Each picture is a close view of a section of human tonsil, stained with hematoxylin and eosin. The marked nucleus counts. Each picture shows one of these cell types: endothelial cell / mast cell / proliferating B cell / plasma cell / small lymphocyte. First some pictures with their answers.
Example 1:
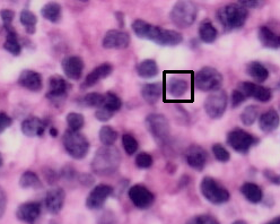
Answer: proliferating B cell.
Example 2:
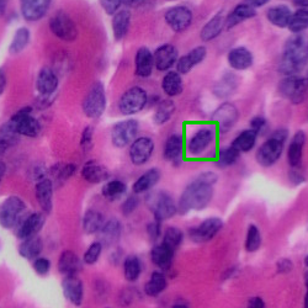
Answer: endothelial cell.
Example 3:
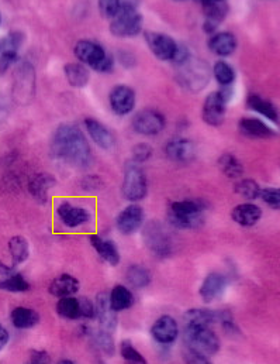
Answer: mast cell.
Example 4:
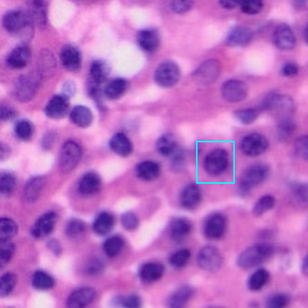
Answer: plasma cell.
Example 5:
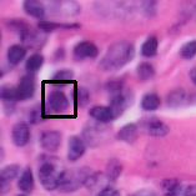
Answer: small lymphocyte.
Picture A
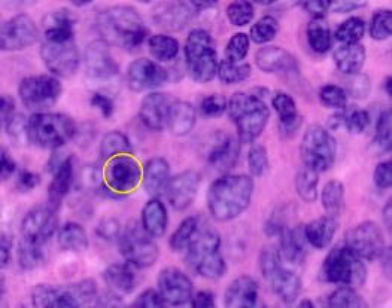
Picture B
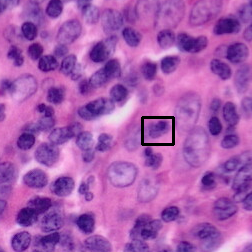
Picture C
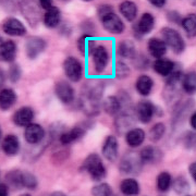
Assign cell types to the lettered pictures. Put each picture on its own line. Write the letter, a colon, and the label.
A: proliferating B cell.
B: endothelial cell.
C: small lymphocyte.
